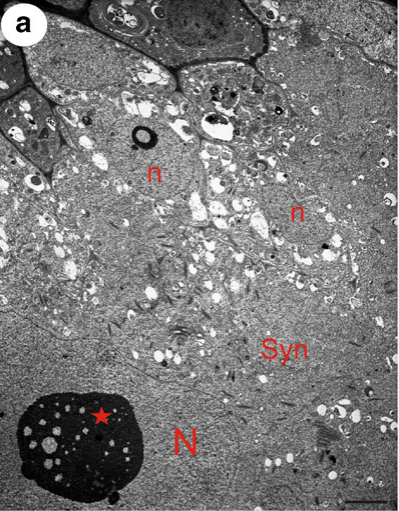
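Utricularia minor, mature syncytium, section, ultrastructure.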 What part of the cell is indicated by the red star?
Nucleolus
